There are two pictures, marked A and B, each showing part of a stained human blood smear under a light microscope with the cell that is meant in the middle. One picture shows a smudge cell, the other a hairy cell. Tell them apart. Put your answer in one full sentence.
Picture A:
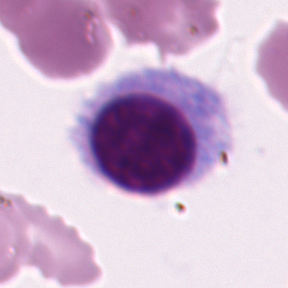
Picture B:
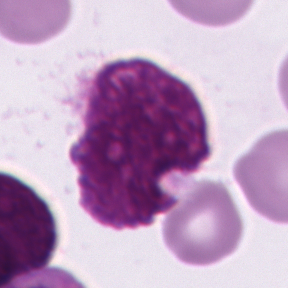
In picture A the cell is a hairy cell; in picture B, a smudge cell.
